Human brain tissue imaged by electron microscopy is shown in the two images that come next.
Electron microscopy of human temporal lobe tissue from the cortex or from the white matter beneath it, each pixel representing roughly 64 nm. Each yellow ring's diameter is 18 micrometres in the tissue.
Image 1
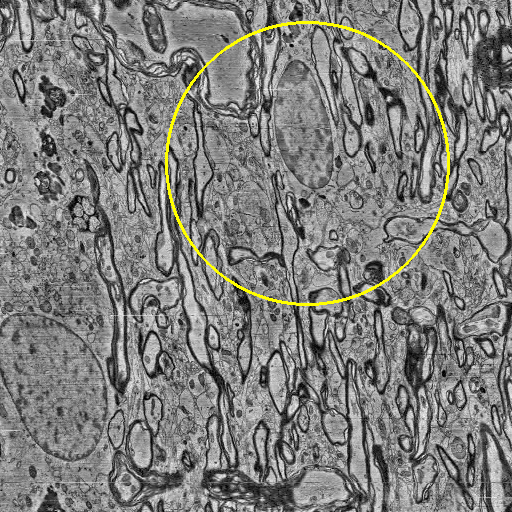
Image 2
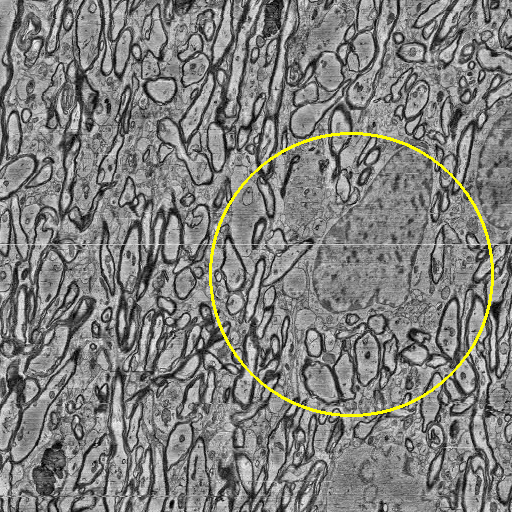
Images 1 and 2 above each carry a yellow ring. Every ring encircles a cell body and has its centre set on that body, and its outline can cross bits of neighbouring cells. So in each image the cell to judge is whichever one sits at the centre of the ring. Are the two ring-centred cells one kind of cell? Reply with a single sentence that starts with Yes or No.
Yes, in Image 1 and Image 2 the cells at the centres of their rings fall into one type.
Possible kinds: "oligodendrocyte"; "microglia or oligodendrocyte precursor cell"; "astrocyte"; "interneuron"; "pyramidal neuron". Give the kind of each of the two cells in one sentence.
Each one of the two ringed cells is a microglial cell or oligodendrocyte precursor cell.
